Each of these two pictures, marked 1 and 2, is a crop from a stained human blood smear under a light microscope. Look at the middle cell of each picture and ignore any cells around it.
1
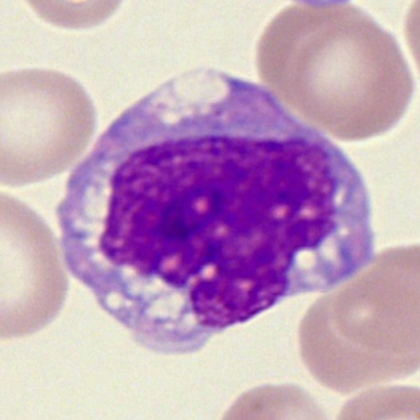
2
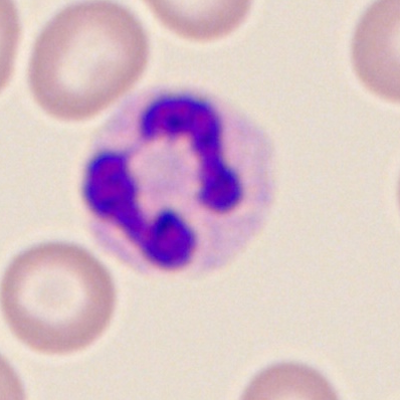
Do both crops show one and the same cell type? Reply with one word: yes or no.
no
